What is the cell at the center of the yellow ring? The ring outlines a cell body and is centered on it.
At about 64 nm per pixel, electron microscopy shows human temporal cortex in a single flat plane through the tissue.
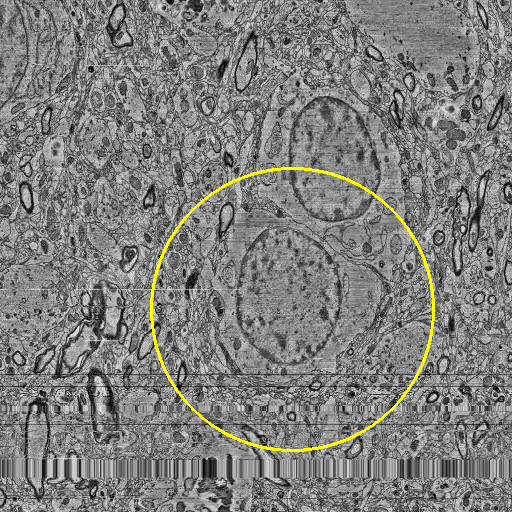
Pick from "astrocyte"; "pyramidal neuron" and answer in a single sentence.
The yellow ring is centered on an astrocyte.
